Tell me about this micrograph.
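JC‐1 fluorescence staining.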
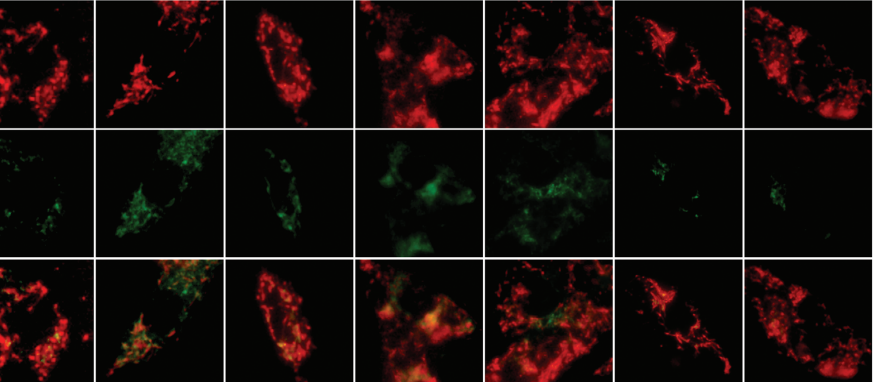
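A grid of fluorescence images shows individual cultured cells in which the mitochondria appear as red filamentous and punctate networks on a black background. The red networks spread through the cytoplasm of each cell and vary in density and extent from column to column. A second row shows a green signal in the same fields, which is faint and sparse in some columns and brighter and more diffuse in others. The bottom row overlays the two, showing mostly red networks in some columns and patches of yellow to orange overlap where the green signal is strong. Nuclei are not stained and cell borders are not clearly outlined.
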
